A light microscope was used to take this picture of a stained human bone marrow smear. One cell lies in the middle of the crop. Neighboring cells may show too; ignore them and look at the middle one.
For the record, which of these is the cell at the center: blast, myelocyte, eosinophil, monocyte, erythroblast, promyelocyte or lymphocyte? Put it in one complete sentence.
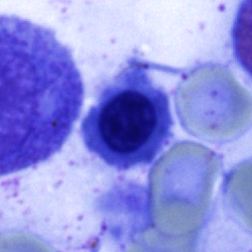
The cell in the middle of this crop is an erythroblast.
